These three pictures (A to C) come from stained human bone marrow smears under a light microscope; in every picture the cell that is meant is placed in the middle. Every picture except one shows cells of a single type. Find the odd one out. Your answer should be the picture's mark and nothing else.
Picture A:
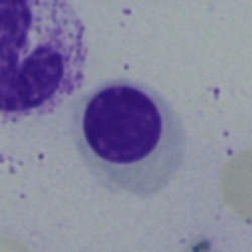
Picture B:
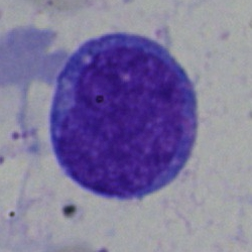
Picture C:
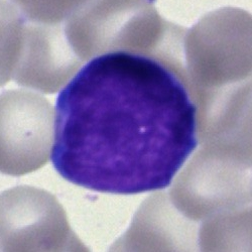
A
